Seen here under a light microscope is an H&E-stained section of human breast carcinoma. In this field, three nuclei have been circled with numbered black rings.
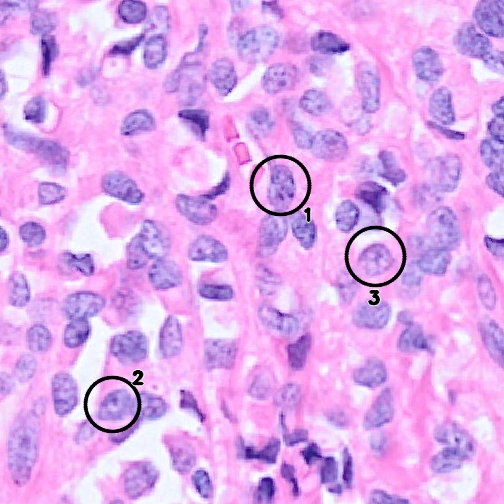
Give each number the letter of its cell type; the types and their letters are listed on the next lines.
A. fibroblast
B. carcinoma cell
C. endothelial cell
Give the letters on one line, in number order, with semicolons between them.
C; B; B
